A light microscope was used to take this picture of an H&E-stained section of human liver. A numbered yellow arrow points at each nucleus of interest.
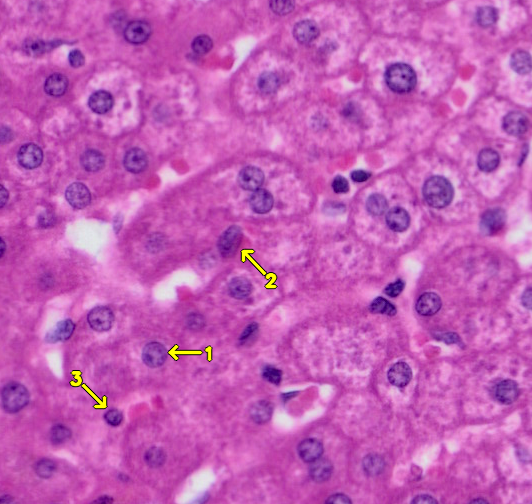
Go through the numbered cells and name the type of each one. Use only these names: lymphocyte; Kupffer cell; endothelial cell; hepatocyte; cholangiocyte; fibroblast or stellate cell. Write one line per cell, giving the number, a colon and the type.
1: hepatocyte
2: endothelial cell
3: lymphocyte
